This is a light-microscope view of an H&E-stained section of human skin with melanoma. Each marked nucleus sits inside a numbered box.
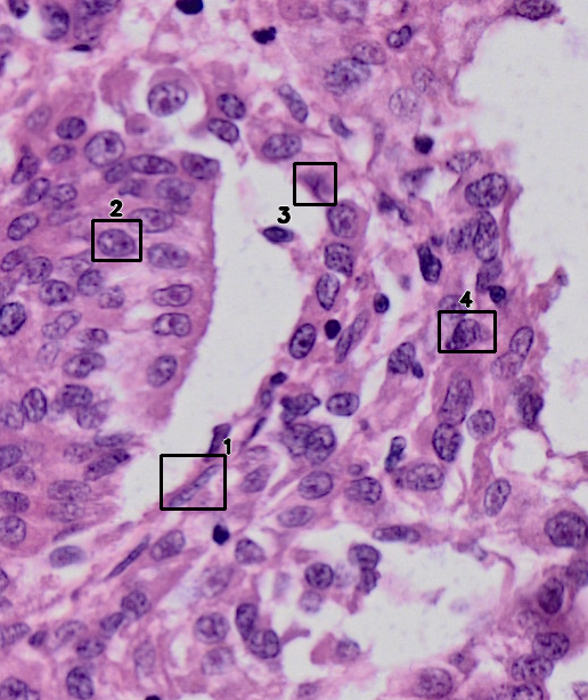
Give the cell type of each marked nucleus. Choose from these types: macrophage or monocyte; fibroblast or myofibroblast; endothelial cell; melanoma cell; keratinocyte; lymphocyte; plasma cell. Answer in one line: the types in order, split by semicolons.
macrophage or monocyte; melanoma cell; melanoma cell; melanoma cell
